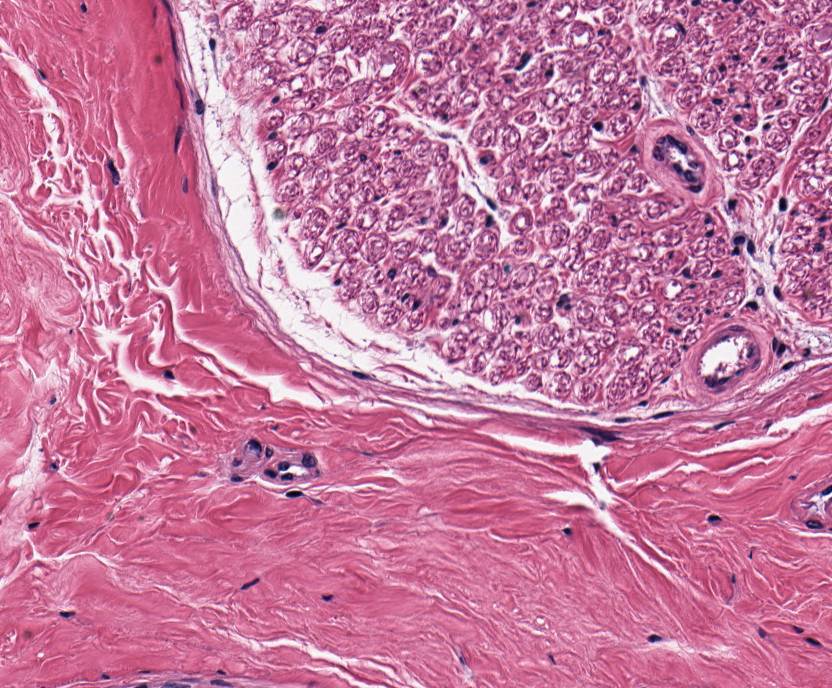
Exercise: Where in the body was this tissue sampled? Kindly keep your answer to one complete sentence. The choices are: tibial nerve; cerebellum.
The sampled site for this tissue is the tibial nerve.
